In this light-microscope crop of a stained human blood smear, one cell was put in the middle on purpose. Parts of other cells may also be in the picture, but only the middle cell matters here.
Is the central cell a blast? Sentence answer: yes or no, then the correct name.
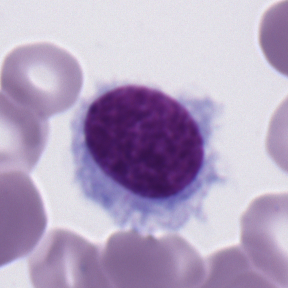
No, it is not a blast that sits at the centre but a hairy cell.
